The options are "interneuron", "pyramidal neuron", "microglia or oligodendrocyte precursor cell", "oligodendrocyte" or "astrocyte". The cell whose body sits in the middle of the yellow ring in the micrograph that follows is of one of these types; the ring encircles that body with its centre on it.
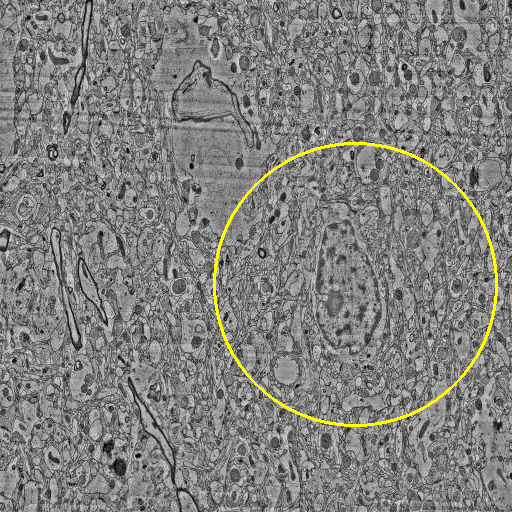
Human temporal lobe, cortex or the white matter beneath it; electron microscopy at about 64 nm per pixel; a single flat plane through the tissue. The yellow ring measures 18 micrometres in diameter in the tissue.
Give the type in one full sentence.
Going by the micrograph, the cell centred in the yellow ring is a microglial cell or oligodendrocyte precursor cell.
